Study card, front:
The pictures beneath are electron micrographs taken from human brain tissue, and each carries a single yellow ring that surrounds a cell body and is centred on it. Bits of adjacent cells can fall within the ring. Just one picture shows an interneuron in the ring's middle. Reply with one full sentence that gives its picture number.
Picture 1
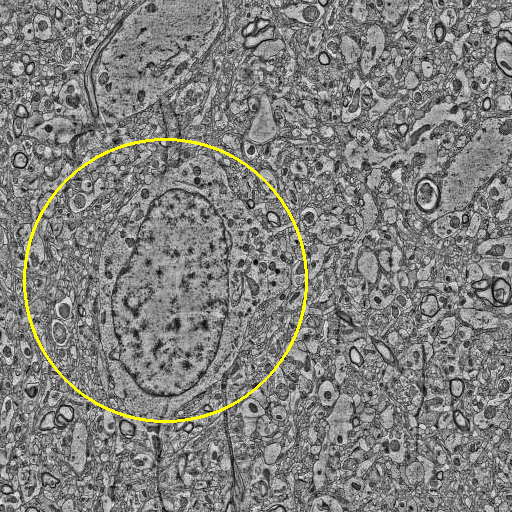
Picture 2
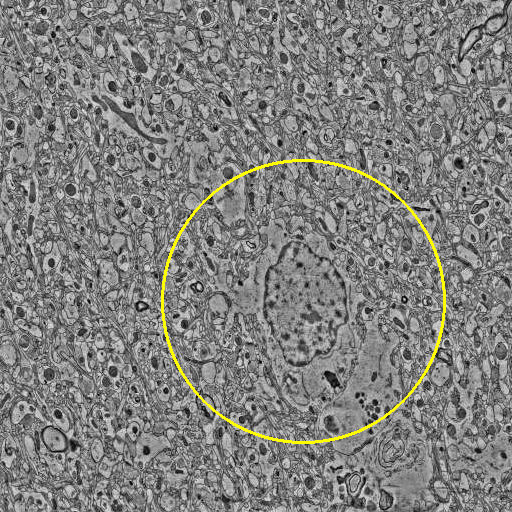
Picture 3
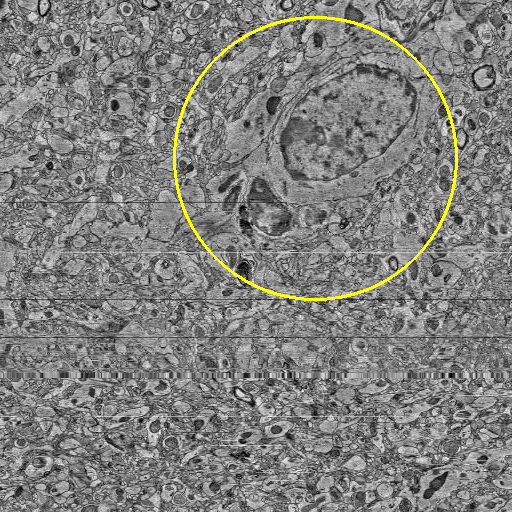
Picture 1 is the one whose ring has the requested cell at its centre.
